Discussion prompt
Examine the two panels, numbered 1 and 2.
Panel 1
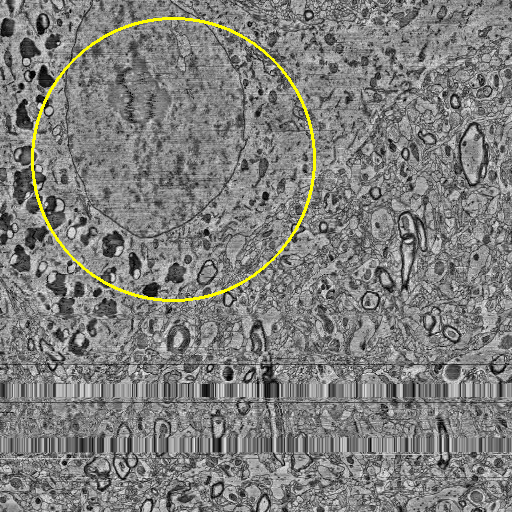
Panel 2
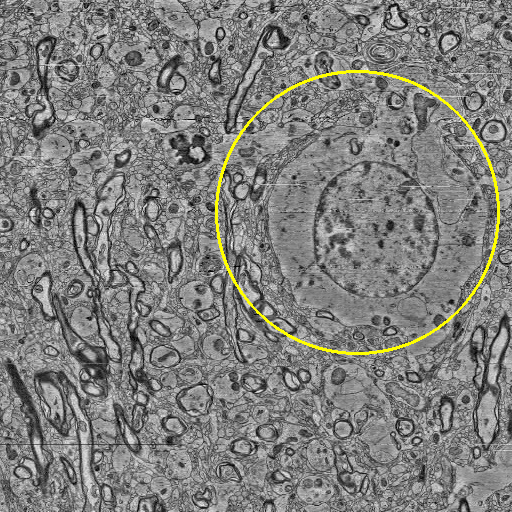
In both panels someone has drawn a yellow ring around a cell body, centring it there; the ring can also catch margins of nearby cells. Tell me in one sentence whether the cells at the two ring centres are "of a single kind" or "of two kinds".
Taken together, the two cells centred in the rings of Panels 1 and 2 are of two kinds.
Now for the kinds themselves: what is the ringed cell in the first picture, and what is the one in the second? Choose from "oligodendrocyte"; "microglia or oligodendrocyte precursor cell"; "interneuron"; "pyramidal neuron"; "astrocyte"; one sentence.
Here the first cell is a pyramidal neuron and the second cell is an astrocyte.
